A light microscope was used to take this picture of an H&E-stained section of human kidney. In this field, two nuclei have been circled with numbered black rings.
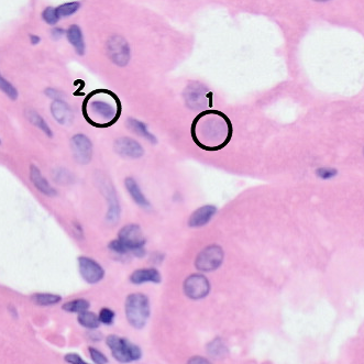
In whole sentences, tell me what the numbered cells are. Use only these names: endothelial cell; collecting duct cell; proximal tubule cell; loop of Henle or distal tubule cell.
Cell 1 is a proximal tubule cell and cell 2 is an endothelial cell.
